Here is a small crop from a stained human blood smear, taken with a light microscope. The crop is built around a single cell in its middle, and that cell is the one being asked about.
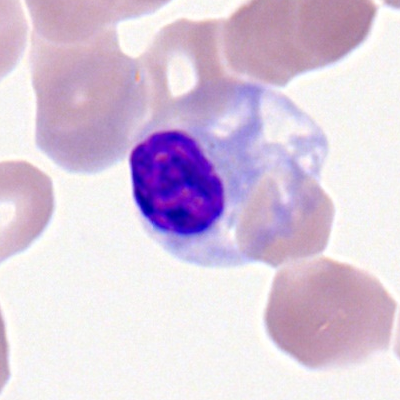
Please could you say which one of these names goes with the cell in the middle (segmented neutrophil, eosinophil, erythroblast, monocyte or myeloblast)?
erythroblast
